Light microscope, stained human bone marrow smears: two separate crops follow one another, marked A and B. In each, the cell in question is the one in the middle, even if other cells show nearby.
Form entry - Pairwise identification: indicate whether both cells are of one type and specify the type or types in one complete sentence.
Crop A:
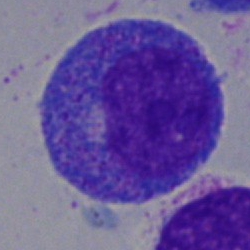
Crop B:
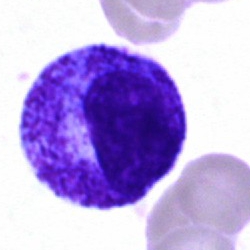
Yes, the two crops show promyelocytes, both of them.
